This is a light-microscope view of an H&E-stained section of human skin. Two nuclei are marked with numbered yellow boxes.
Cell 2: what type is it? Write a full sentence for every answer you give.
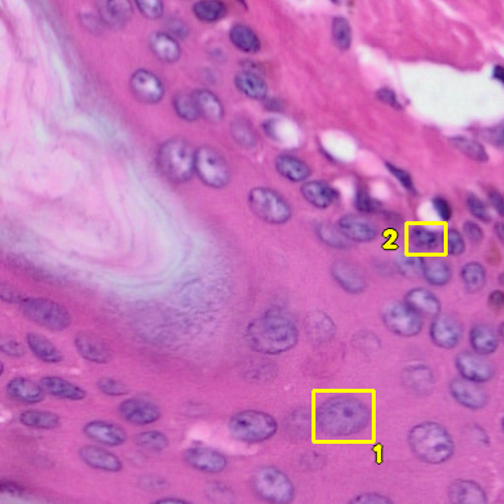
The cell marked with number 2 is a basal keratinocyte.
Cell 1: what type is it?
Cell 1 in the field of view is a suprabasal keratinocyte.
